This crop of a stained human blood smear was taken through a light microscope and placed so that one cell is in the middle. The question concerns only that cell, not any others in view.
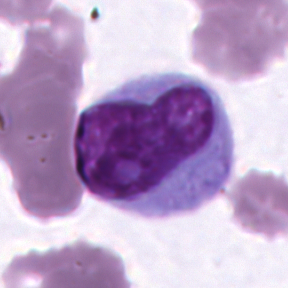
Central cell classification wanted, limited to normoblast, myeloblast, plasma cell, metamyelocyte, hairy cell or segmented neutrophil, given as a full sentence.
Here the cell in the middle is a plasma cell.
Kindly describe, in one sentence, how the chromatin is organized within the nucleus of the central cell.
In this cell the chromatin is fine rather than coarsely clumped.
